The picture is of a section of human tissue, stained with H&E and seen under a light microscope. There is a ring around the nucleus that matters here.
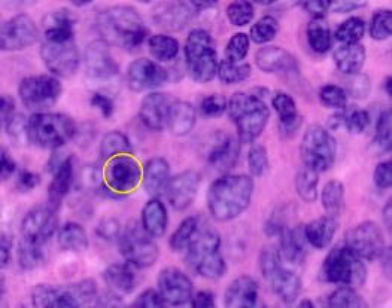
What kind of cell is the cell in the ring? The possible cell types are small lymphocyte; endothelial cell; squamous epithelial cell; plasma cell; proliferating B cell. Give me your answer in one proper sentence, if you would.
Within this tissue, the cell in the ring is a proliferating B cell.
